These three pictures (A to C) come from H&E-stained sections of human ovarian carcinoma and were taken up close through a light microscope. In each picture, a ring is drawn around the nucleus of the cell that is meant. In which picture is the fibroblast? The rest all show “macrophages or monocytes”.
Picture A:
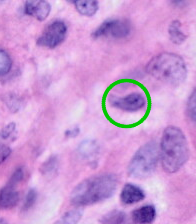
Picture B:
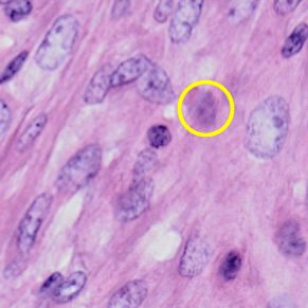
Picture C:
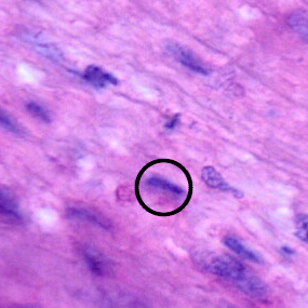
B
